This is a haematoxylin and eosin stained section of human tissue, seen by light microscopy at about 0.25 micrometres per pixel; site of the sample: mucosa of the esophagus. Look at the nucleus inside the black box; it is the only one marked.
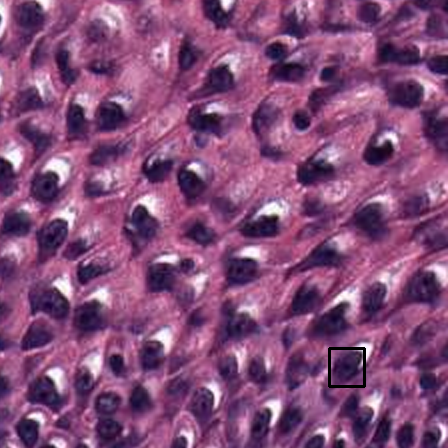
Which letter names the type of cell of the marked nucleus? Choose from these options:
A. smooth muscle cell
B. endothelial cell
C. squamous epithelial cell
C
